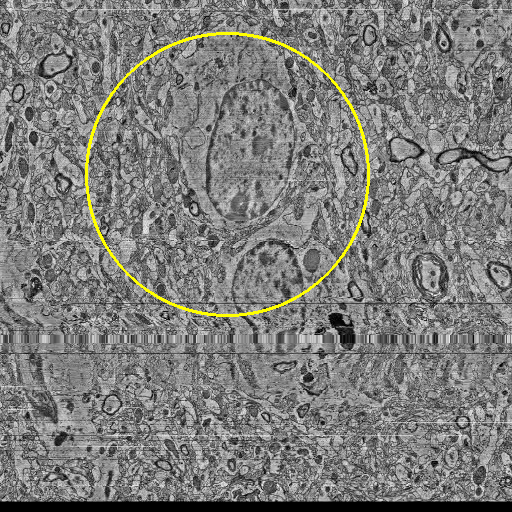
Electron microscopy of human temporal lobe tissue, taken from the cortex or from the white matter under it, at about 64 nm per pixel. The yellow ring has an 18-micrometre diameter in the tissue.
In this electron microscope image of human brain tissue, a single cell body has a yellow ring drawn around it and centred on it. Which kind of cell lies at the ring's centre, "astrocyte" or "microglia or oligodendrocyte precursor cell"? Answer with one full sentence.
It is an astrocyte whose cell body lies at the centre of the yellow ring here.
